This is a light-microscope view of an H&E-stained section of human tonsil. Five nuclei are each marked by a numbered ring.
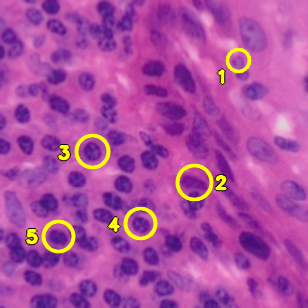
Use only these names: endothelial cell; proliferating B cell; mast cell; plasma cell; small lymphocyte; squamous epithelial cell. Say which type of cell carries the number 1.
squamous epithelial cell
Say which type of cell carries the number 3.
plasma cell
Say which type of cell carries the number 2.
squamous epithelial cell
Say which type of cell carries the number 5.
plasma cell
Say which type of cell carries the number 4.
plasma cell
